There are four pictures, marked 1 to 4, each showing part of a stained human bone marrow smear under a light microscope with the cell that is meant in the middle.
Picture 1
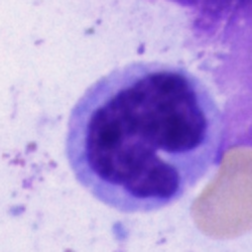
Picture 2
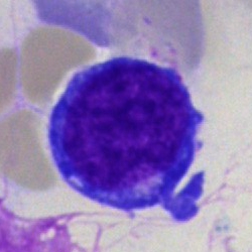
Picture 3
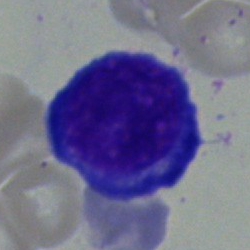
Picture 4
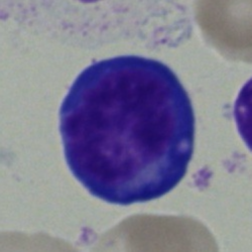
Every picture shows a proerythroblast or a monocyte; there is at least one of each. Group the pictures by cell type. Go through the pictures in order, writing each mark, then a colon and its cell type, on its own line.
1: monocyte
2: proerythroblast
3: proerythroblast
4: proerythroblast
